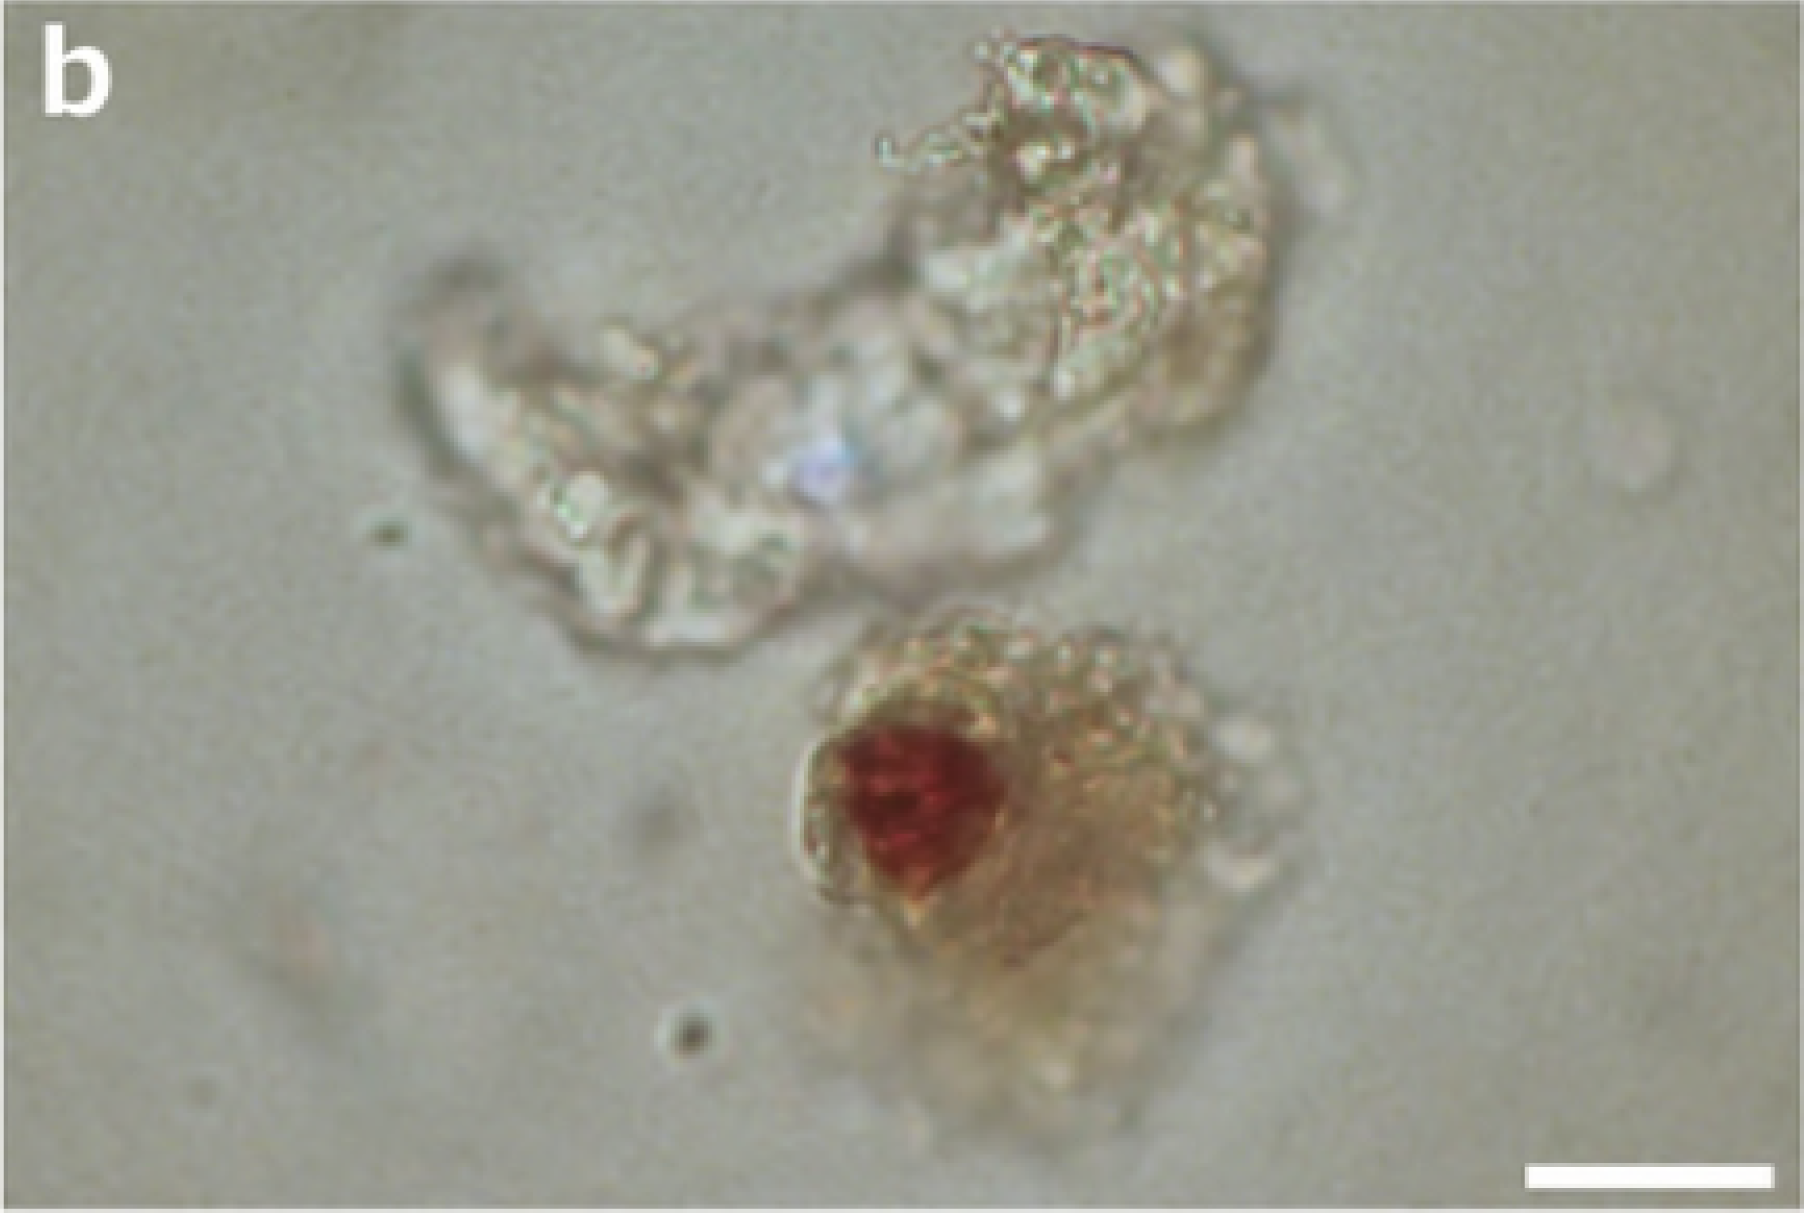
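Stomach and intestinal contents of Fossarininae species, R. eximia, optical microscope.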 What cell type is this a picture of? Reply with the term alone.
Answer: Red algae.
